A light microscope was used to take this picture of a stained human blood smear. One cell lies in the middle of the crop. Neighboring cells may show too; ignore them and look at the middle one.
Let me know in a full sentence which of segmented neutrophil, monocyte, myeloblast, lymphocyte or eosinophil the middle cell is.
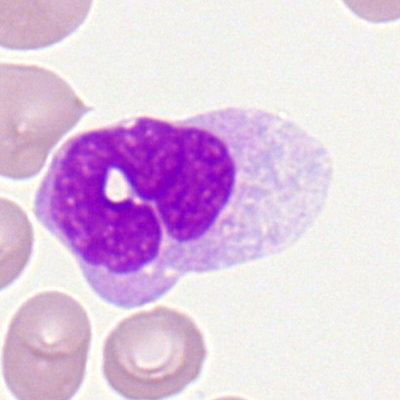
The cell of interest, in the center, is a monocyte.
